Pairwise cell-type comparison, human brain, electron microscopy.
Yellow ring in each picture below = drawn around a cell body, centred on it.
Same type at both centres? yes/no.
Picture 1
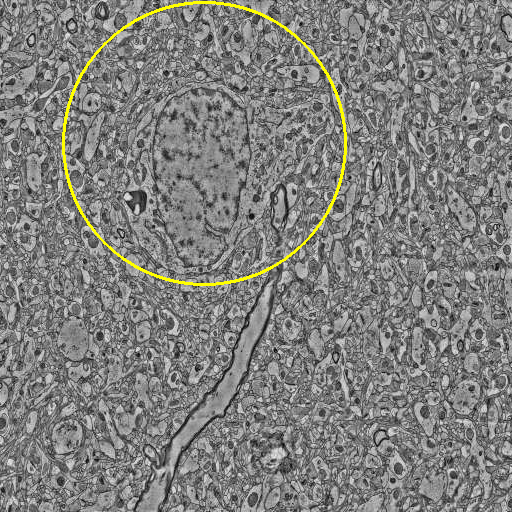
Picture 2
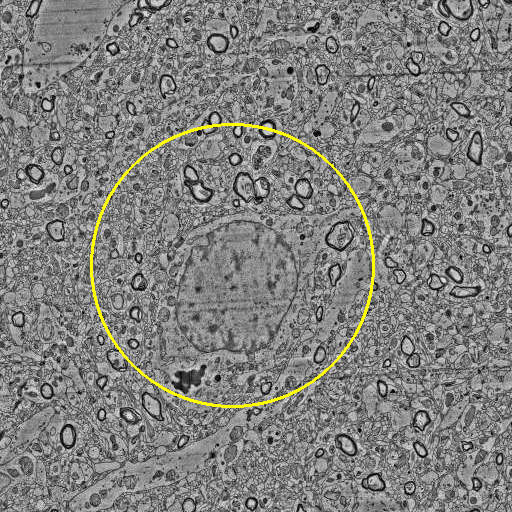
yes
